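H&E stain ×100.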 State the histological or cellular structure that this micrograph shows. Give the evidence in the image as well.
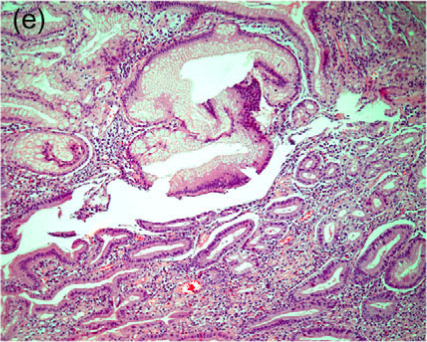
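A large dilated gland with an open lumen lies in the upper middle. Smaller irregular glands sit in an inflamed stroma below. The answer: cystic glands.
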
